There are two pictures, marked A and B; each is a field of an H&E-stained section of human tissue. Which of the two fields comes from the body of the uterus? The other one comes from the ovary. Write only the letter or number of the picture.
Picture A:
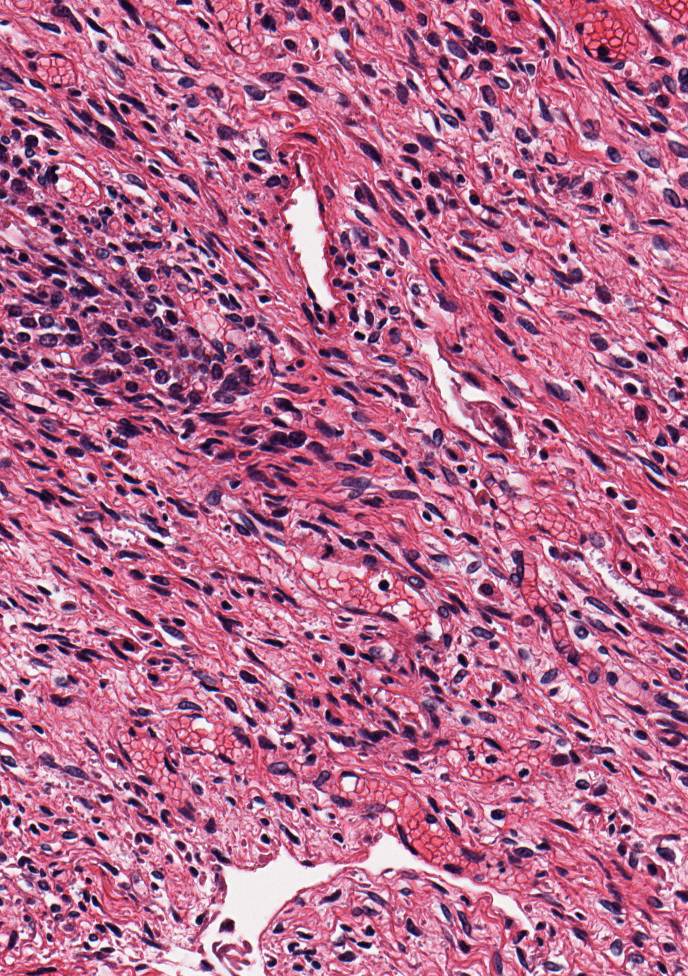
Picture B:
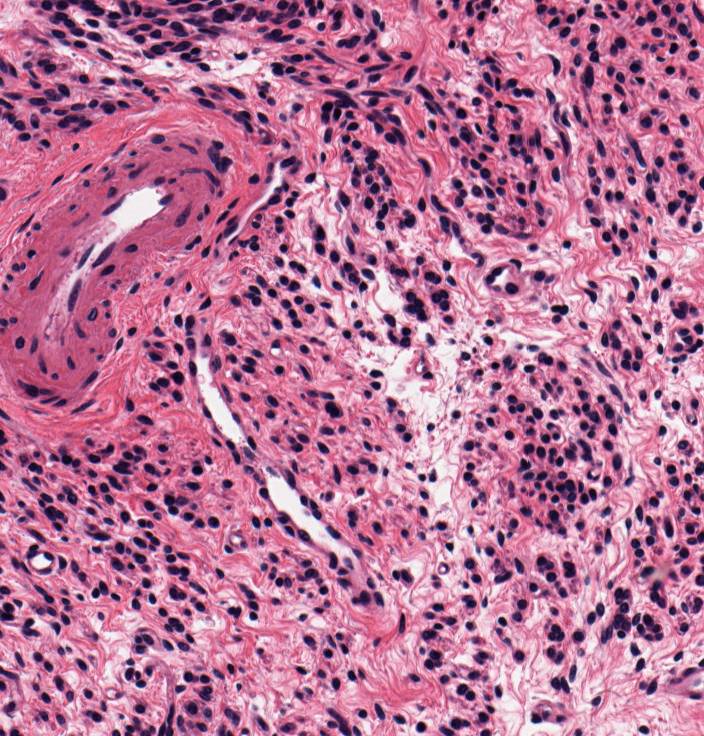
B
